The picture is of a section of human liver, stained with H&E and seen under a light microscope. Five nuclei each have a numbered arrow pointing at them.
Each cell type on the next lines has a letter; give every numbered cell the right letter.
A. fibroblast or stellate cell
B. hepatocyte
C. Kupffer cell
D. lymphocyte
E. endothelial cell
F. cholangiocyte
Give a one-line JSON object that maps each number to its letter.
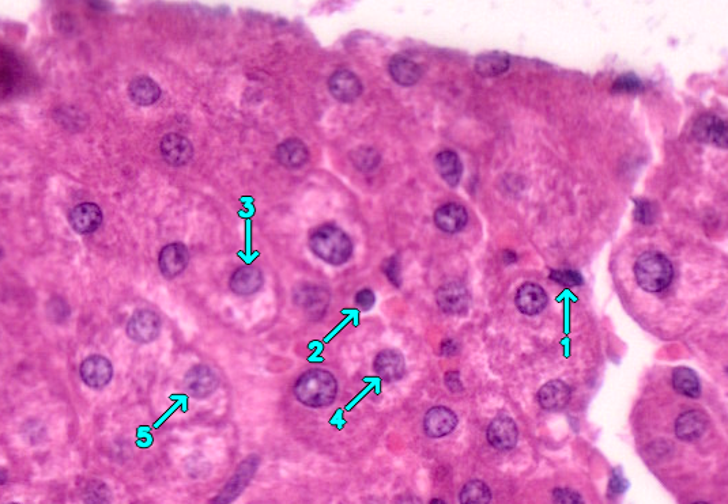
{"1": "A", "2": "D", "3": "B", "4": "B", "5": "B"}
